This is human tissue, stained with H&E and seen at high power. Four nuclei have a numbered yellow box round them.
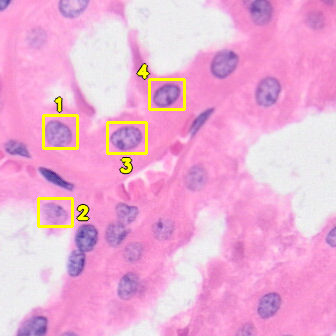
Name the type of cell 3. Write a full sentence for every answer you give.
Within this field of view, the cell labelled 3 is a proximal tubule cell.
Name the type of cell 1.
The cell that is numbered 1 is a proximal tubule cell.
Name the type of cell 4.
Of the numbered cells, the one labelled 4 is a proximal tubule cell.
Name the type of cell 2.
It is as a loop of Henle or distal tubule cell that the cell numbered 2 is identified.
